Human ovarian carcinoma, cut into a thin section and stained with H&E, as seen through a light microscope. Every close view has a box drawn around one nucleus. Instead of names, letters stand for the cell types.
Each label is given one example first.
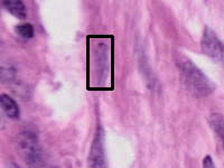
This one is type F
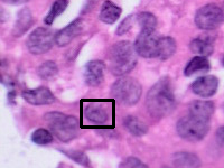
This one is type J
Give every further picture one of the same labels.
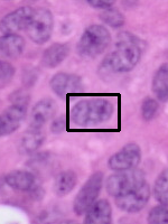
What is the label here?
type J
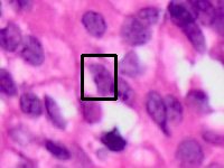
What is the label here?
type J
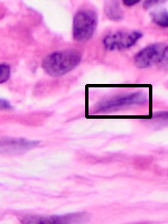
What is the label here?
type F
